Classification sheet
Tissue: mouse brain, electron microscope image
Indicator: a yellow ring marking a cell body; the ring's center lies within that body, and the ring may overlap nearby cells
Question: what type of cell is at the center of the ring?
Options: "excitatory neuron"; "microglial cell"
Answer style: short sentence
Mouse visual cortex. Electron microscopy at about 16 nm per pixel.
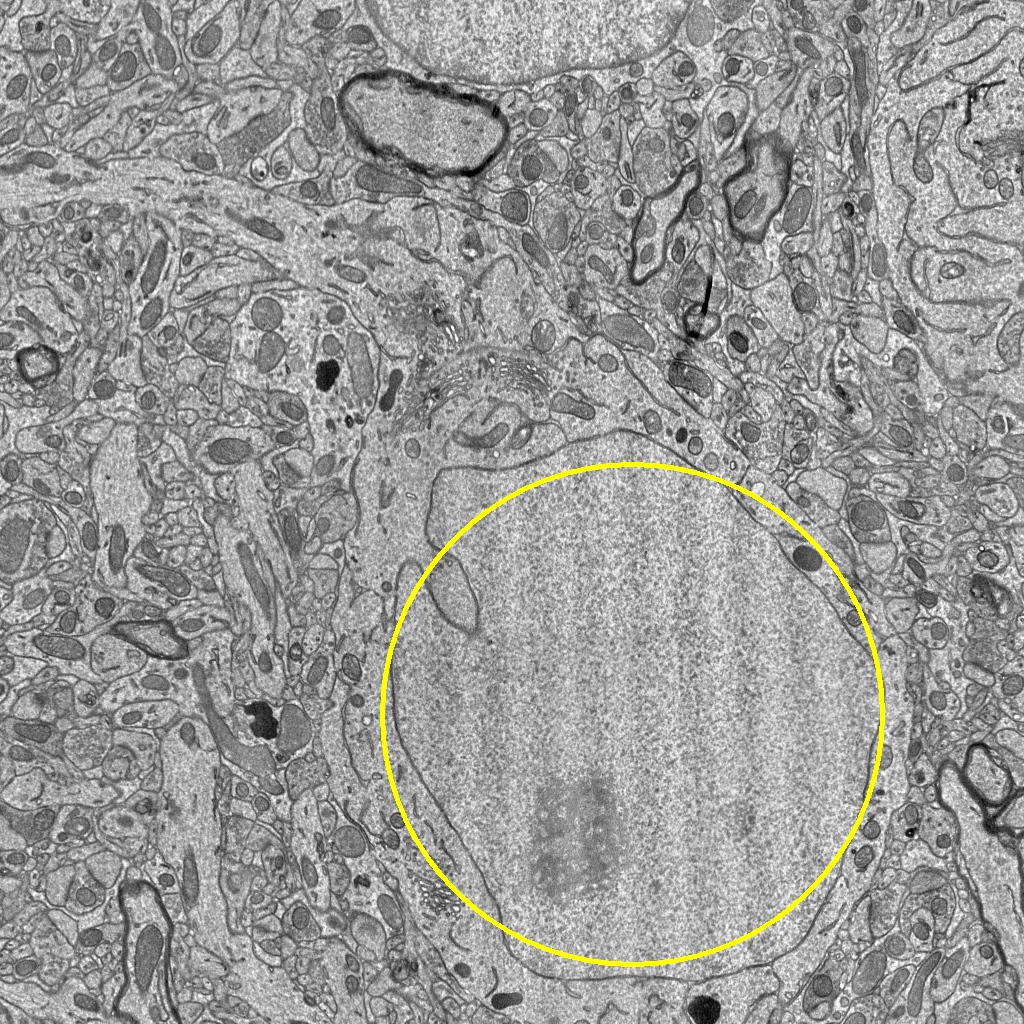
At the ring's center is an excitatory neuron.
